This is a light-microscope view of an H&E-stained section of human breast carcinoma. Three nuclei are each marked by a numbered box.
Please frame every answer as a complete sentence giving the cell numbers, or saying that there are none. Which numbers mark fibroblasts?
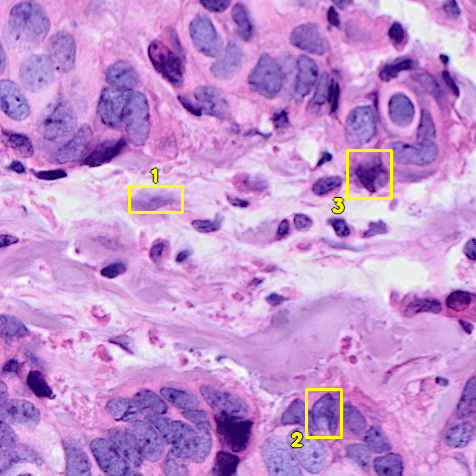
Only the cell numbered 1 qualifies as a fibroblast among the marked cells.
